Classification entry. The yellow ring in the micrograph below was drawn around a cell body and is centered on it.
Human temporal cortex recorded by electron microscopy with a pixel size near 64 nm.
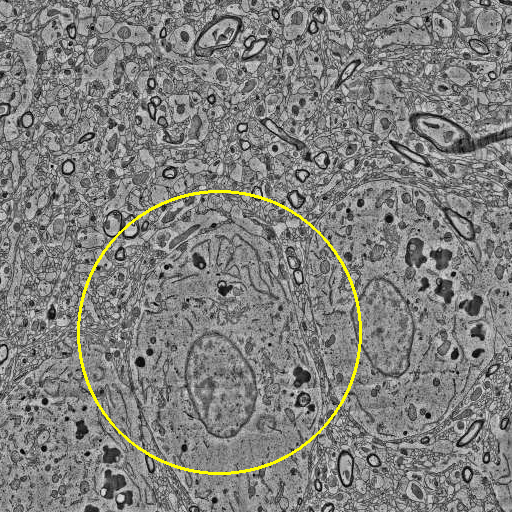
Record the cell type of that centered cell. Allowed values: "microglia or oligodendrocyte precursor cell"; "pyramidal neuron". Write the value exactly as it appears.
pyramidal neuron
